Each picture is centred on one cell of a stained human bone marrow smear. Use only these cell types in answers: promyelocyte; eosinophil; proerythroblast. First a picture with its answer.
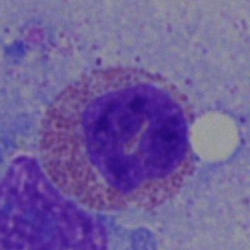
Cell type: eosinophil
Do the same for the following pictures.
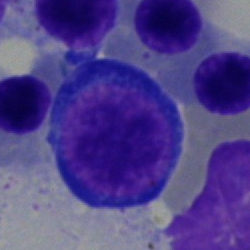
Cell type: proerythroblast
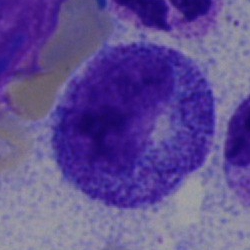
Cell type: promyelocyte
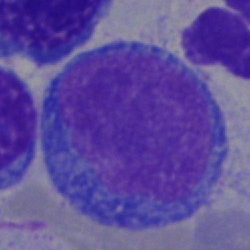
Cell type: proerythroblast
